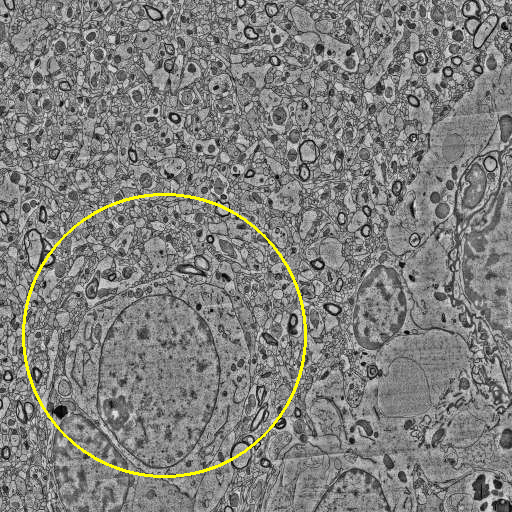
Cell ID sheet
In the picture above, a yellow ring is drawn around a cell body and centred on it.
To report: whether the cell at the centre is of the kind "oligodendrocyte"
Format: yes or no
no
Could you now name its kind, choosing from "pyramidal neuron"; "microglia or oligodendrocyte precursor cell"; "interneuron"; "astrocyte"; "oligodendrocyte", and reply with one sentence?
This picture has a pyramidal neuron at the centre of its ring.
